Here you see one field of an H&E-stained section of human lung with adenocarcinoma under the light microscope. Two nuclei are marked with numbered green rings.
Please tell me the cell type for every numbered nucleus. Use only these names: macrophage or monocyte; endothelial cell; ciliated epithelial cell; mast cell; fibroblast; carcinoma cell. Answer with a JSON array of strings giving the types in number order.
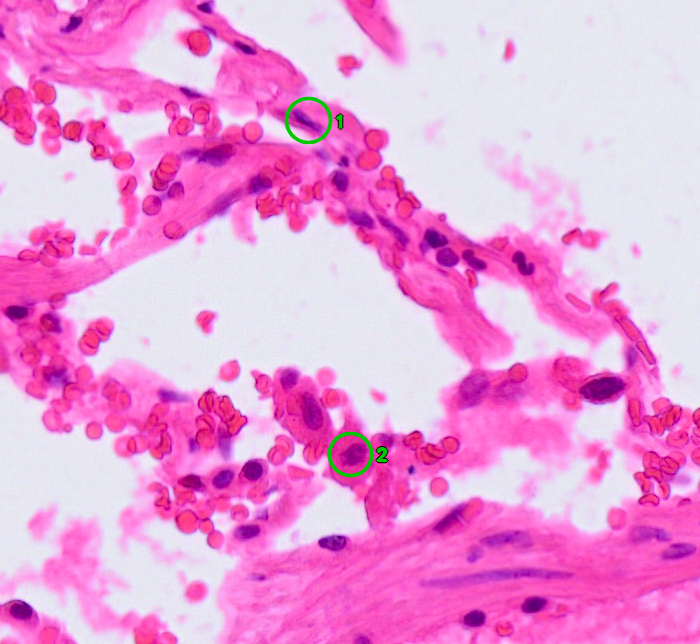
["endothelial cell", "macrophage or monocyte"]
